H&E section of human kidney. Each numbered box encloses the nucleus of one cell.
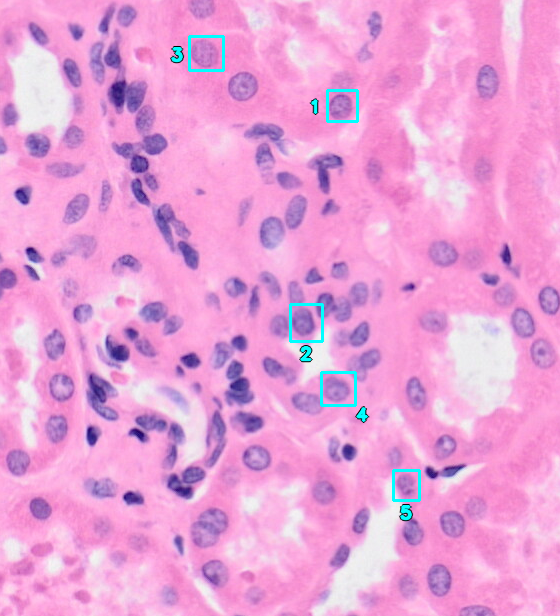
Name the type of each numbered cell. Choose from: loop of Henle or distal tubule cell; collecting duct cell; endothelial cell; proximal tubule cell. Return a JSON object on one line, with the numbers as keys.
{"1": "proximal tubule cell", "2": "collecting duct cell", "3": "proximal tubule cell", "4": "collecting duct cell", "5": "loop of Henle or distal tubule cell"}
